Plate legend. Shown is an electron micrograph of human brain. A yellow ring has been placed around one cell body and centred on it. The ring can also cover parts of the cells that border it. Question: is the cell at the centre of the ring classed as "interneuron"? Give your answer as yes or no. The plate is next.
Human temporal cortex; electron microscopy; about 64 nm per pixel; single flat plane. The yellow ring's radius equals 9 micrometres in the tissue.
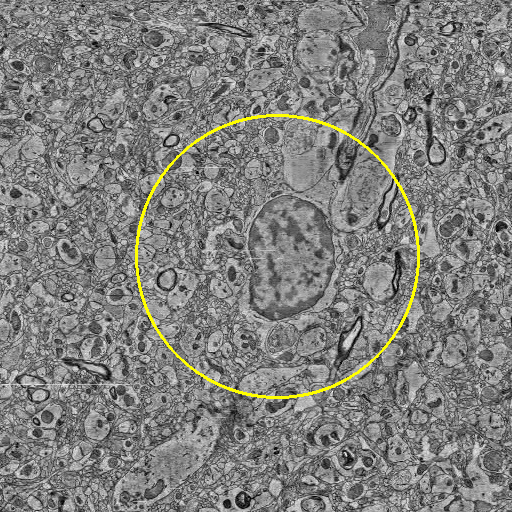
No, the ringed cell is of another kind.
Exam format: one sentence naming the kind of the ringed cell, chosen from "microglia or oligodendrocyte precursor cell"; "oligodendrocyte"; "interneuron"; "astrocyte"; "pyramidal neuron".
As it turns out, the cell at the ring centre is a microglial cell or oligodendrocyte precursor cell.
